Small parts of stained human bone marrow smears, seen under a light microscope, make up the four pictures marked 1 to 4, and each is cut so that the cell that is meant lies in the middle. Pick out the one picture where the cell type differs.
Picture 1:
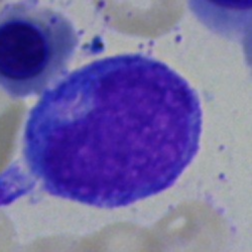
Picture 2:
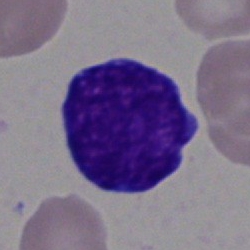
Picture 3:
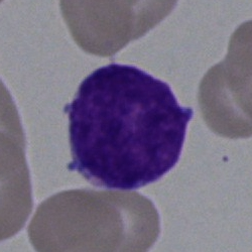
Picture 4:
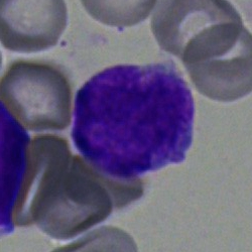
4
